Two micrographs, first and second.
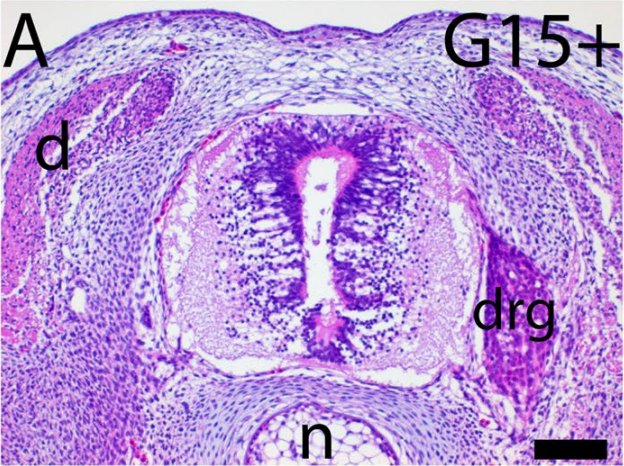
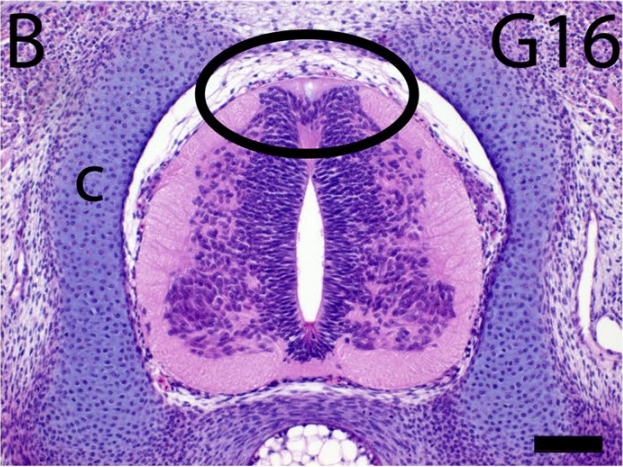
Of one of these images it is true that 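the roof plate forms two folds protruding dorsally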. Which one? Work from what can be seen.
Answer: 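The second image. Second image: the dorsal midline shows two bulges of dense cells on either side of a notch. First image: the dorsal midline of the tube is rounded without paired bulges.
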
